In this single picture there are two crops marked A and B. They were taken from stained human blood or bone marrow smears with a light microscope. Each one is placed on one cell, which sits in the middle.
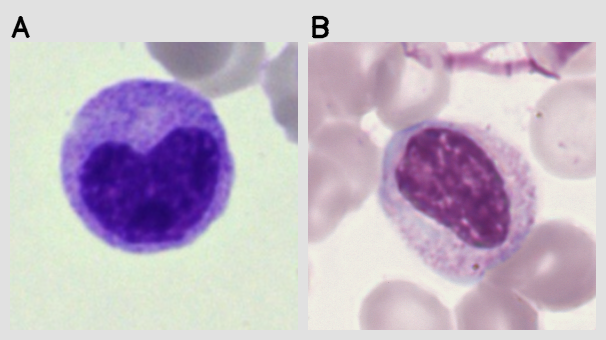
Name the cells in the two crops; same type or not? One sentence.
Yes, what both crops show at their centres are metamyelocytes.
